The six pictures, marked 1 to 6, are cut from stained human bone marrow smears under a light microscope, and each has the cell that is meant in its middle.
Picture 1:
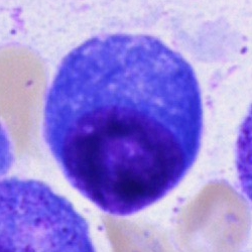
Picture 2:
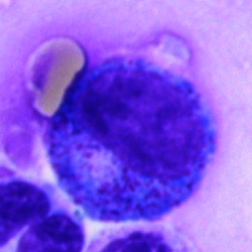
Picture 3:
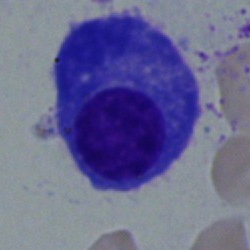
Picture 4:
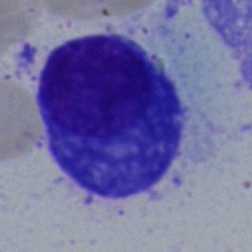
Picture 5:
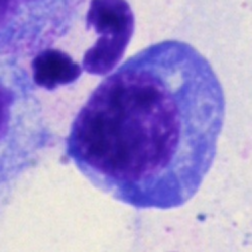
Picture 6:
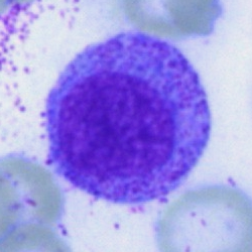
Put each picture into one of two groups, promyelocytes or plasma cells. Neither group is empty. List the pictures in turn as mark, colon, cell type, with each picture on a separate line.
1: plasma cell
2: promyelocyte
3: plasma cell
4: plasma cell
5: plasma cell
6: promyelocyte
